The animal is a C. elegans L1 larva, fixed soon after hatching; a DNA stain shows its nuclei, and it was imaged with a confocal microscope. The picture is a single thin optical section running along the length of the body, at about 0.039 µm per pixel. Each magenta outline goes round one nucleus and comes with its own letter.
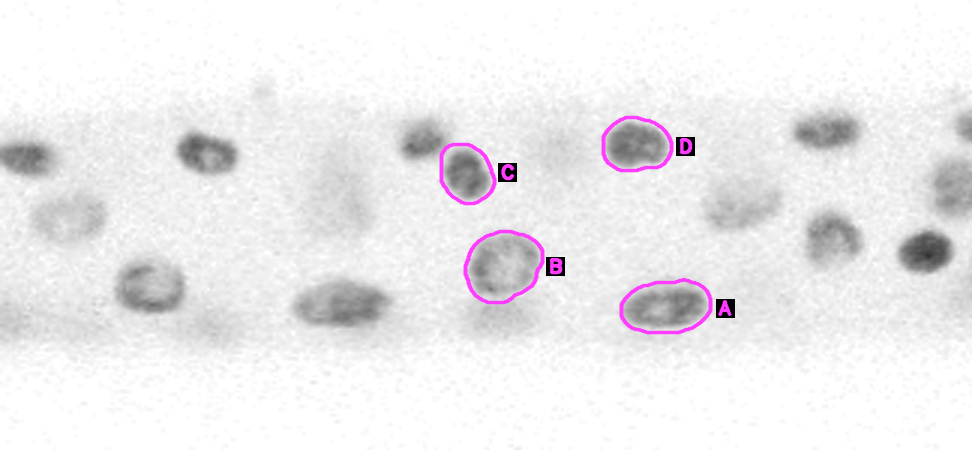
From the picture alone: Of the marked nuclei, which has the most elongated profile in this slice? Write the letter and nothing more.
A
